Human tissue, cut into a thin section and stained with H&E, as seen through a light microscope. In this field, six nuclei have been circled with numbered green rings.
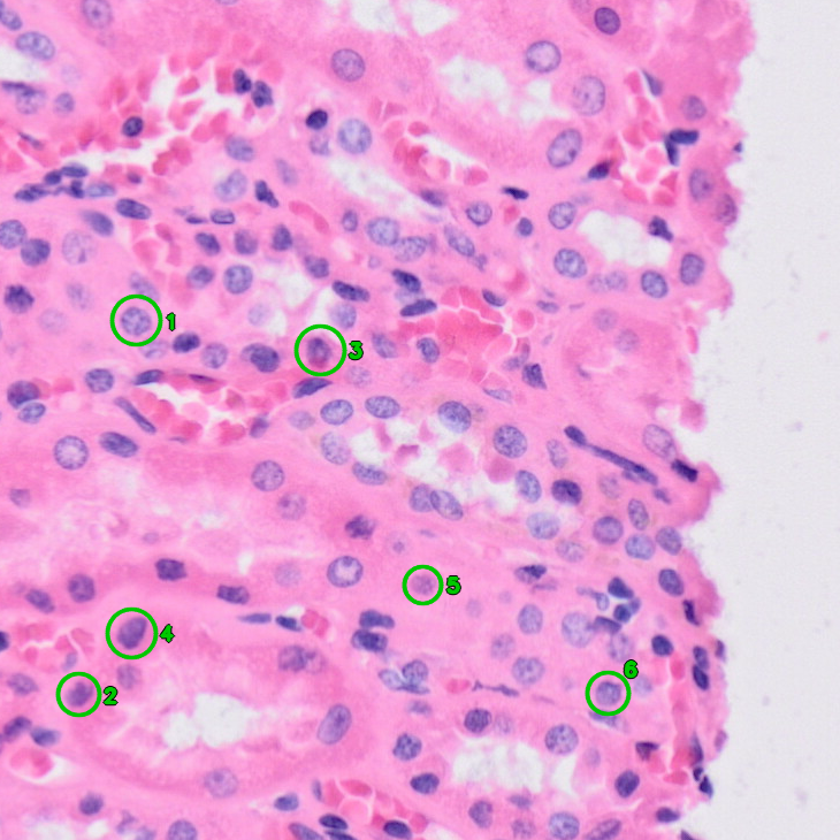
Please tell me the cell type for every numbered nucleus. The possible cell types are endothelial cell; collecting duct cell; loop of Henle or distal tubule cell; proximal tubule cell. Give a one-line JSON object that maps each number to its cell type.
{"1": "loop of Henle or distal tubule cell", "2": "proximal tubule cell", "3": "loop of Henle or distal tubule cell", "4": "proximal tubule cell", "5": "proximal tubule cell", "6": "loop of Henle or distal tubule cell"}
